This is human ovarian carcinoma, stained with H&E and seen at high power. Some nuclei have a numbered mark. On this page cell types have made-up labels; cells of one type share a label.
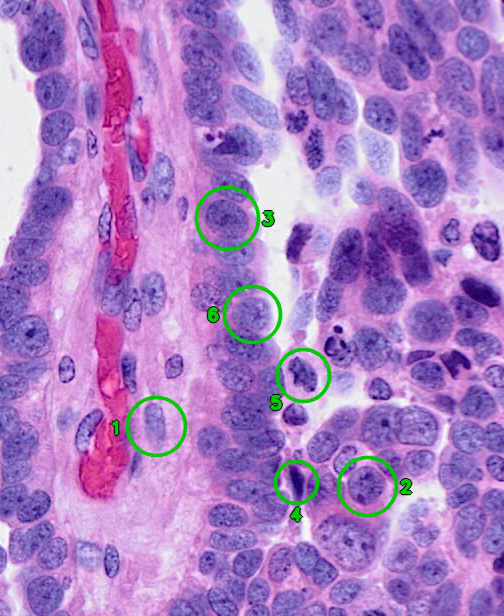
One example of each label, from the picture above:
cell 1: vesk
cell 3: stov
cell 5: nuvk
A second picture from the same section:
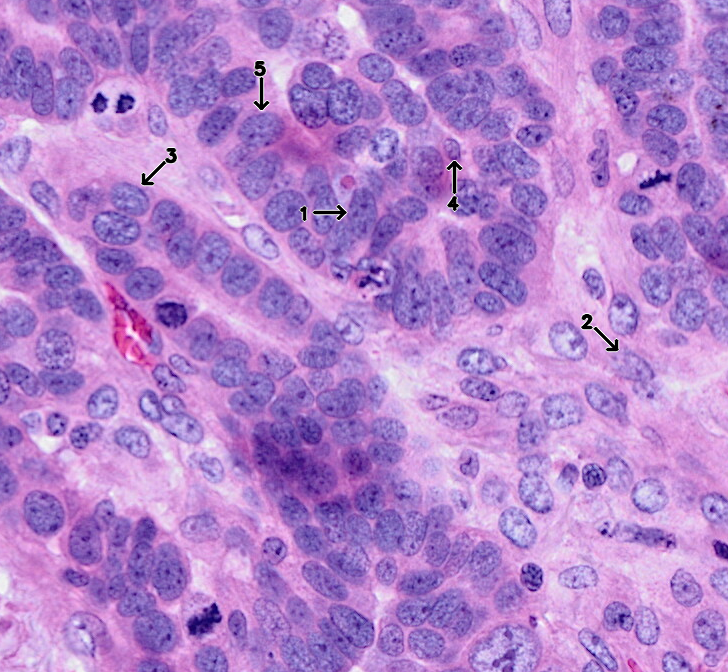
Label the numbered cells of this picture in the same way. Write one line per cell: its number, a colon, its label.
1: stov
2: vesk
3: stov
4: nuvk
5: stov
